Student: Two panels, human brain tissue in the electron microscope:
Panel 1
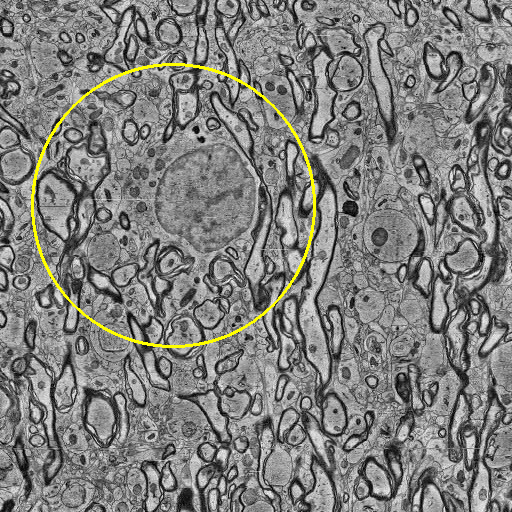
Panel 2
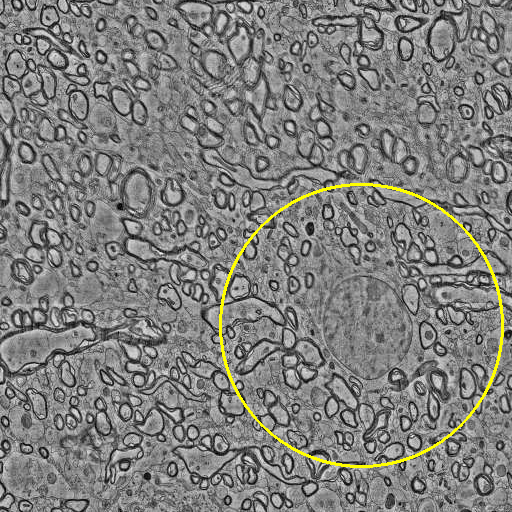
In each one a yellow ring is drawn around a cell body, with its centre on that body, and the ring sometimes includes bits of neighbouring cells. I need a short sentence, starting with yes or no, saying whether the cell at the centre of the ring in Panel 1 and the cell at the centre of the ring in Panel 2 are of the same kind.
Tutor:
No, they are two kinds of cell.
